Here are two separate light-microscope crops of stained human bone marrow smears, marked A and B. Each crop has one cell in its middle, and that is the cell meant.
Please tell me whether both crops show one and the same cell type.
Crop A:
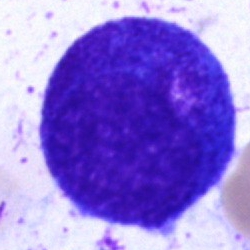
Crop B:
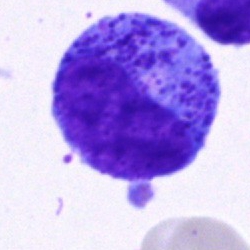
yes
